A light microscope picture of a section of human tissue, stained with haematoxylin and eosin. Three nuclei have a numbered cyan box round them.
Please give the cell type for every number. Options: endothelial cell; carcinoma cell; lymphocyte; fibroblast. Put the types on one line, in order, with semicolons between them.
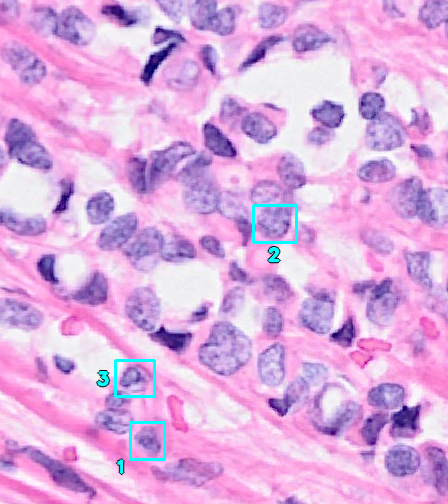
endothelial cell; carcinoma cell; endothelial cell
